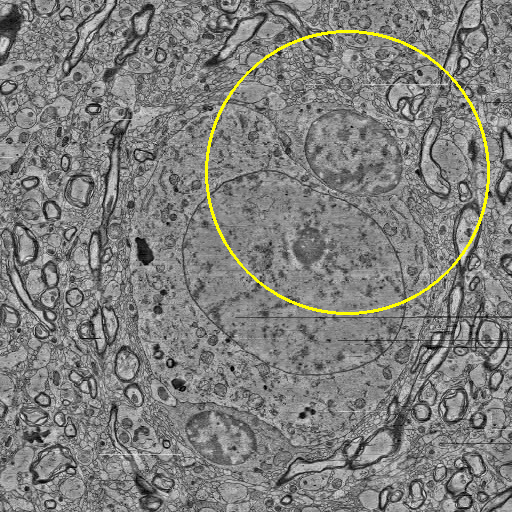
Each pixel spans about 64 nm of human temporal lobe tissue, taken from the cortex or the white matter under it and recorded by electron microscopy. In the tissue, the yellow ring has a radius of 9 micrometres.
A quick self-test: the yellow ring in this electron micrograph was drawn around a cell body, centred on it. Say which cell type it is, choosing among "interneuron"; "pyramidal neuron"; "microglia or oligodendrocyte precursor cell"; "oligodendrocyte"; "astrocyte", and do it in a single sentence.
The yellow-ringed cell is an oligodendrocyte.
